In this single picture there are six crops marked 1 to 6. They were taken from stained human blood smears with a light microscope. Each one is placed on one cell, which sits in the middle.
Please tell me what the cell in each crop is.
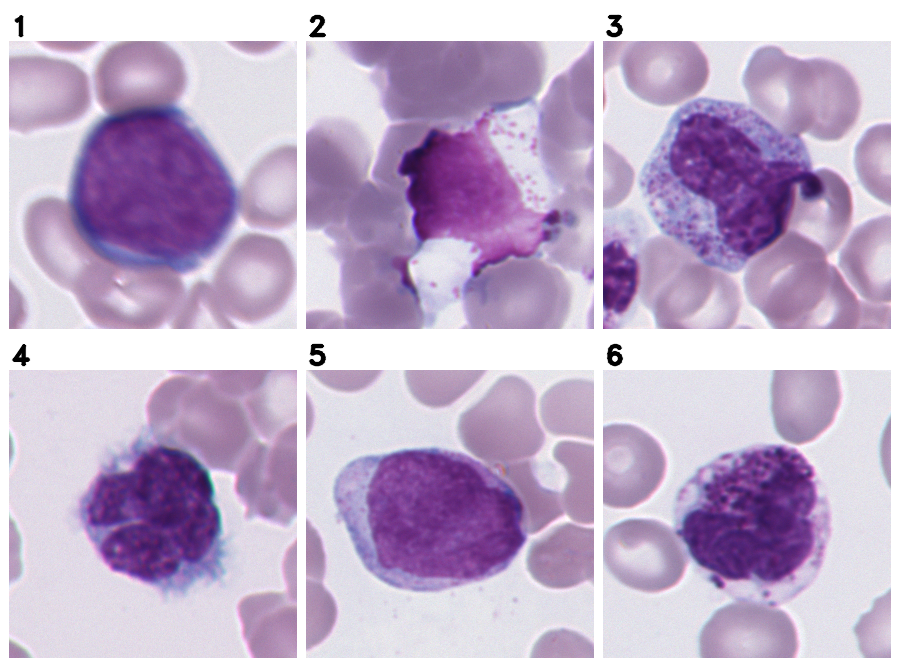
1: myeloblast
2: large granular lymphocyte
3: myelocyte
4: monocyte
5: atypical promyelocyte
6: basophil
